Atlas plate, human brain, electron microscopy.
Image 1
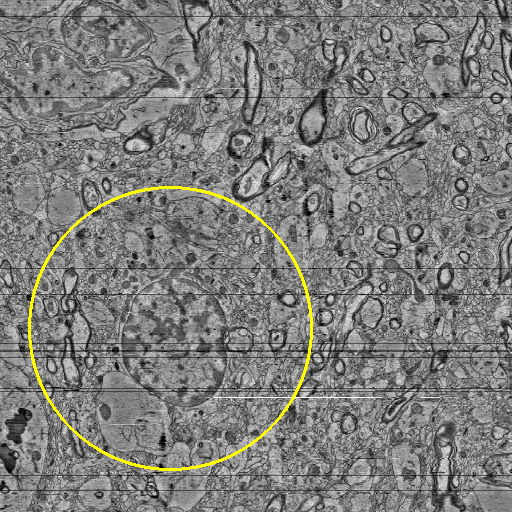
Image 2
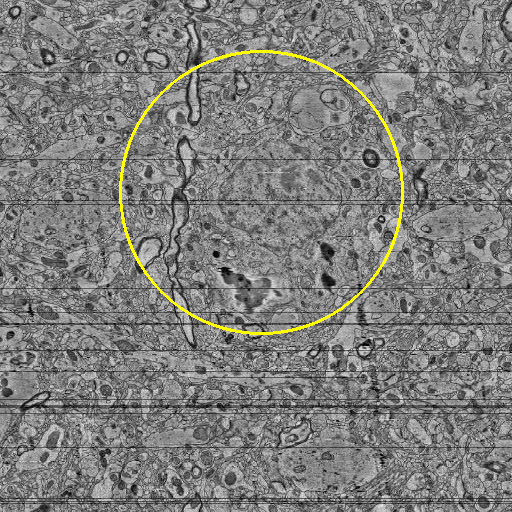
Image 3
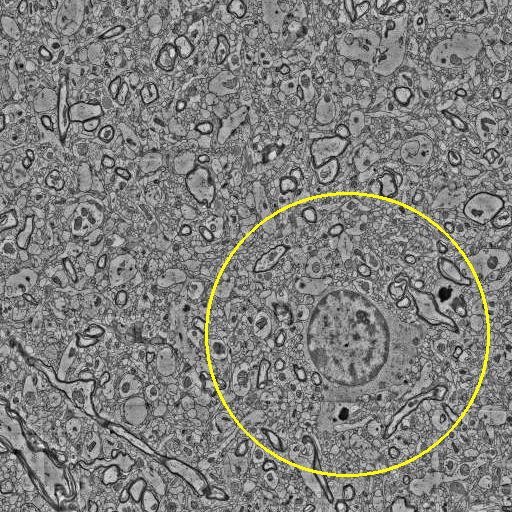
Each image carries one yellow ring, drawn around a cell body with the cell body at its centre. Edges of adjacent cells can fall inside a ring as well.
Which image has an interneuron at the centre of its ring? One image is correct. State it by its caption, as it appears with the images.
Image 2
